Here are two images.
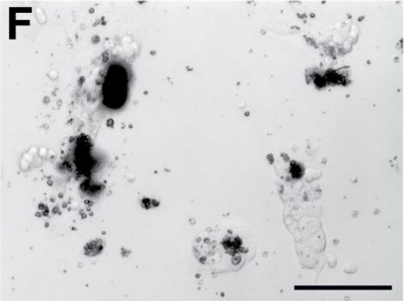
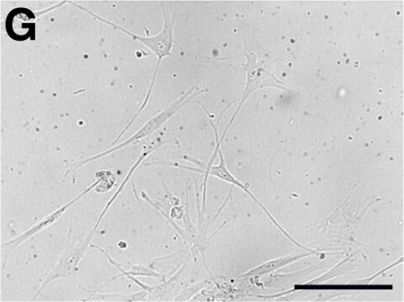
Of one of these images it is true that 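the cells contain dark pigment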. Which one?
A: The first image.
